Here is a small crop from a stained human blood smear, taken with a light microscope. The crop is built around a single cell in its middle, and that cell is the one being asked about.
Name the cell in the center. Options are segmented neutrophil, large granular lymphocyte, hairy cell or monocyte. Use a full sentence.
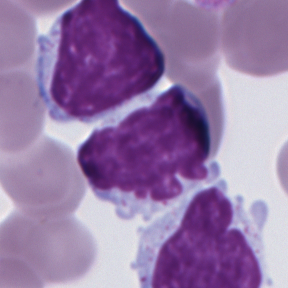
The cell featured at the centre of this crop is a large granular lymphocyte.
